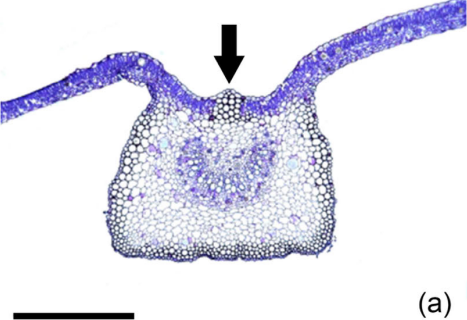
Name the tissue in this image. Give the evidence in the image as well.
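A thick central rib projects below a thin leaf blade on both sides. A curved vascular bundle lies in the middle of the rib surrounded by ground tissue.
Midrib.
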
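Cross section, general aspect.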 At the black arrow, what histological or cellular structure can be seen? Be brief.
protuberance on the adaxial surface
